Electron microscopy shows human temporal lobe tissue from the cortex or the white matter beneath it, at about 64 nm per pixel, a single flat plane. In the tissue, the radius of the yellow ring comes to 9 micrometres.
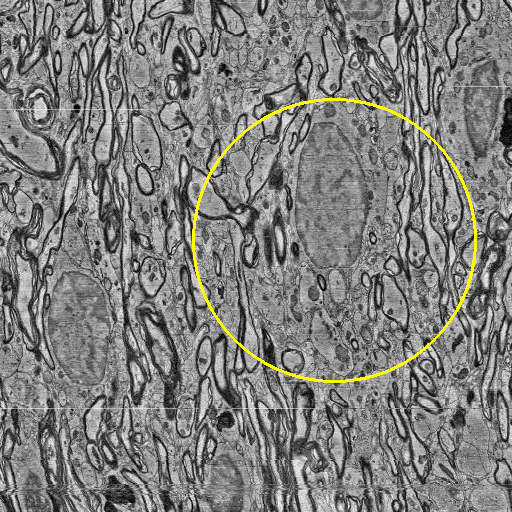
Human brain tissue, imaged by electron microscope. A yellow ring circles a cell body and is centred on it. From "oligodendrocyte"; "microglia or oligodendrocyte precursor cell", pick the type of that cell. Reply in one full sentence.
The cell body at the centre of the yellow ring belongs to an oligodendrocyte.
